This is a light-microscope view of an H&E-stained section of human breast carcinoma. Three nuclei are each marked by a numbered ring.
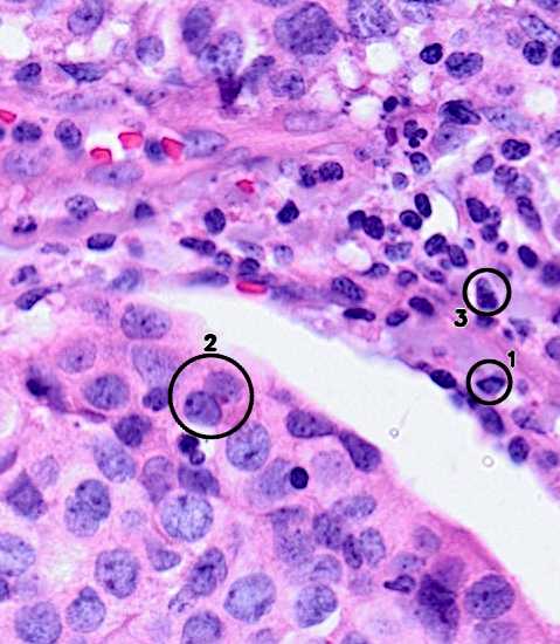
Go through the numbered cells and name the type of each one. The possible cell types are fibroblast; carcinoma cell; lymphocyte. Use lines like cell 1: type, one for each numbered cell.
cell 1: lymphocyte
cell 2: carcinoma cell
cell 3: lymphocyte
